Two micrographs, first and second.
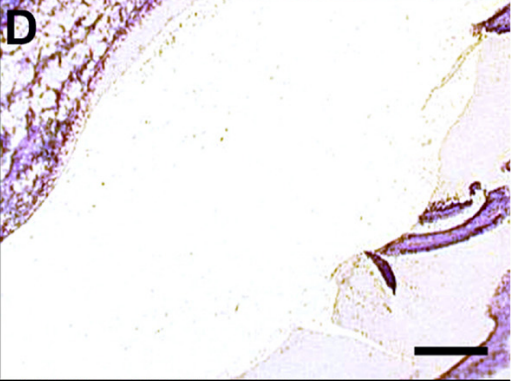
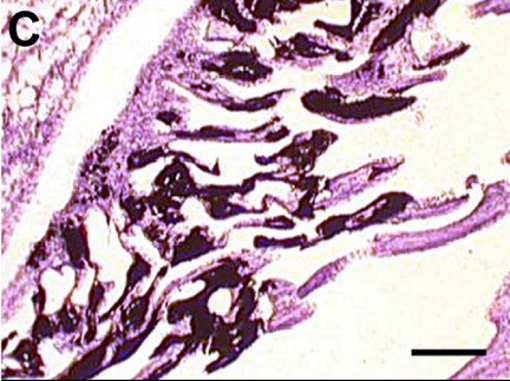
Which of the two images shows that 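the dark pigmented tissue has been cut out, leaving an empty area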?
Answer: the first image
